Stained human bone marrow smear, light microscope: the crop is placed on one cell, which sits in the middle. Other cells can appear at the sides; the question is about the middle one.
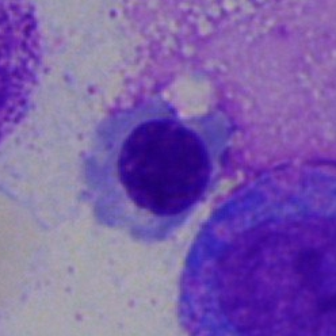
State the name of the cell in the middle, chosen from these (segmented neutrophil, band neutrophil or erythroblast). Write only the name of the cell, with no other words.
erythroblast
